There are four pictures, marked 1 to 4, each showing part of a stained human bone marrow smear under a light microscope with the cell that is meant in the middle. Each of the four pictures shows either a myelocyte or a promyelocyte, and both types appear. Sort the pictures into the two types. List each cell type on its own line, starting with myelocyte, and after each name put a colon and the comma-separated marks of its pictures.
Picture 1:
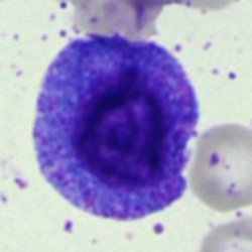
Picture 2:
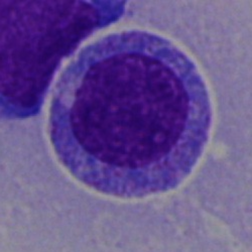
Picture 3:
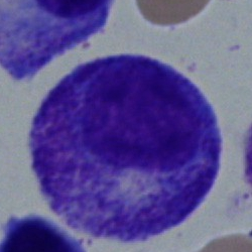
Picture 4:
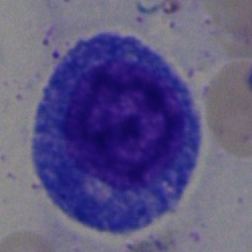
myelocyte: 2
promyelocyte: 1, 3, 4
